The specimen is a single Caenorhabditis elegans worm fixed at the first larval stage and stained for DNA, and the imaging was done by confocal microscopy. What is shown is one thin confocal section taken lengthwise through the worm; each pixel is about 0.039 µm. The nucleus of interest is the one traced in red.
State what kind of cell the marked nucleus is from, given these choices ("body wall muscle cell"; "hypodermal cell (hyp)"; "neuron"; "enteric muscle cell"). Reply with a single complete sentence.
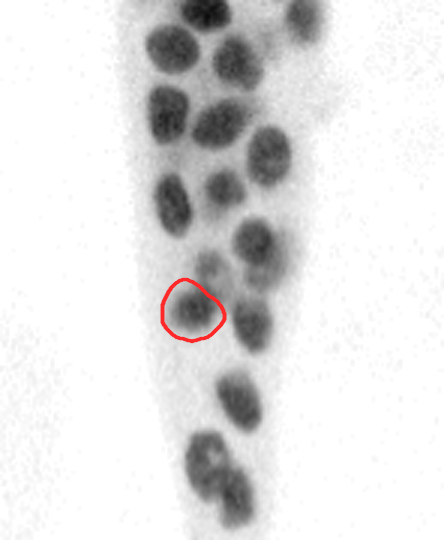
The cell with the marked nucleus is a neuron.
